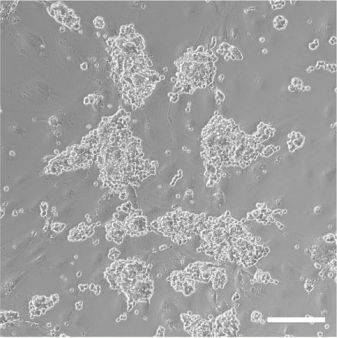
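The cells are small, round and bright-edged, packed tightly together into large, irregular clusters with a bunched, grape-like outline. Beneath and between the colonies lies a flat, pale layer of spread, elongated cells with faint outlines. Scattered single round cells and small groups of a few cells lie loose between the larger colonies.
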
